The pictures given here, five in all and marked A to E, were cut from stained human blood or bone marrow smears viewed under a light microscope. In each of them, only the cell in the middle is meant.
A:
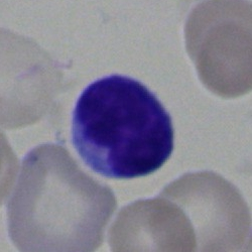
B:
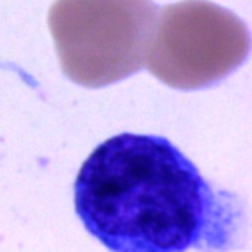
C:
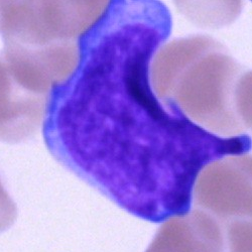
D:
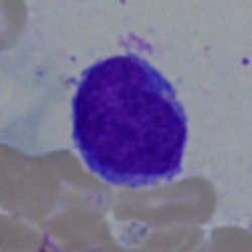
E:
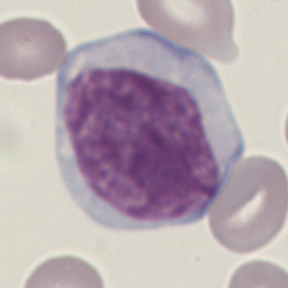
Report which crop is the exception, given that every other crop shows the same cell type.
A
